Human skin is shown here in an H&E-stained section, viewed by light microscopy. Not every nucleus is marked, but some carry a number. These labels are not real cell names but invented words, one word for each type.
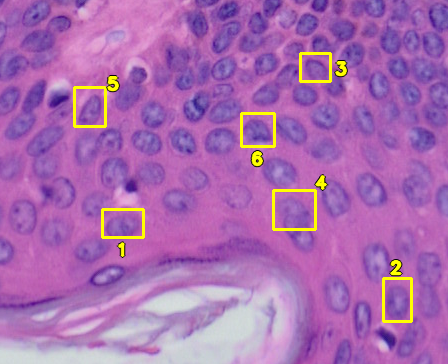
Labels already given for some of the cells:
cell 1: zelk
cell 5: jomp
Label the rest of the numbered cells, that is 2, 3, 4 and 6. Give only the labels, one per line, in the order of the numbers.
zelk
jomp
zelk
zelk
